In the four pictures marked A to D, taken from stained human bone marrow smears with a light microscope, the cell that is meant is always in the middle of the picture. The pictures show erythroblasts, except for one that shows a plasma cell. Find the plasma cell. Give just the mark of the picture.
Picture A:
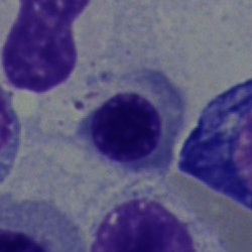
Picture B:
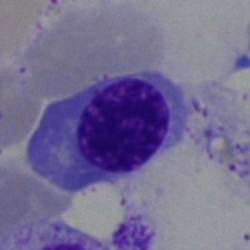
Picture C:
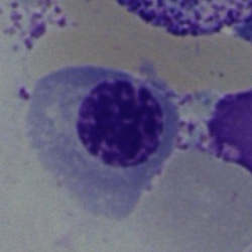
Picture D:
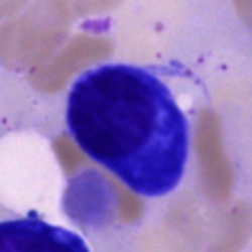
D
